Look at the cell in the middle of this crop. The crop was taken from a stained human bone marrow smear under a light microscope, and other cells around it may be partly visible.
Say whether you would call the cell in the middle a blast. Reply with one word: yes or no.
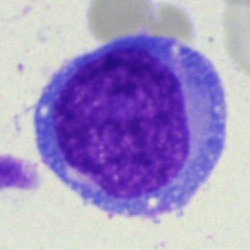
yes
